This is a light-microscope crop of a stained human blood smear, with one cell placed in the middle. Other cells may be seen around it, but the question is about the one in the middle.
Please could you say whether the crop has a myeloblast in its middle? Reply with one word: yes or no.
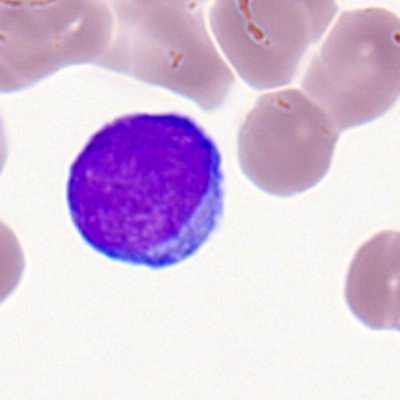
yes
